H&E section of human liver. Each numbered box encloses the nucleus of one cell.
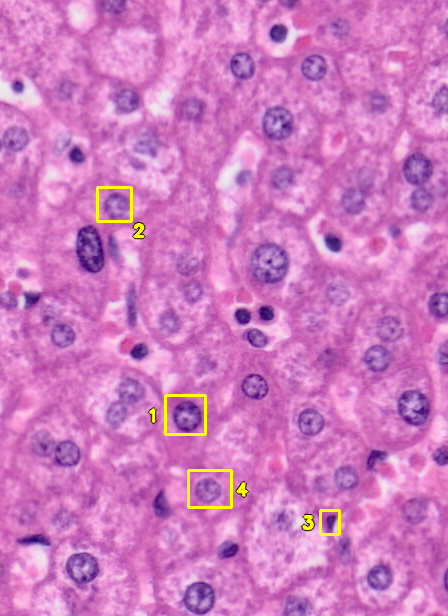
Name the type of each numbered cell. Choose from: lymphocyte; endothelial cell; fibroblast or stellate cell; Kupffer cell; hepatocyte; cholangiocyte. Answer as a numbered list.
1. hepatocyte
2. hepatocyte
3. fibroblast or stellate cell
4. hepatocyte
